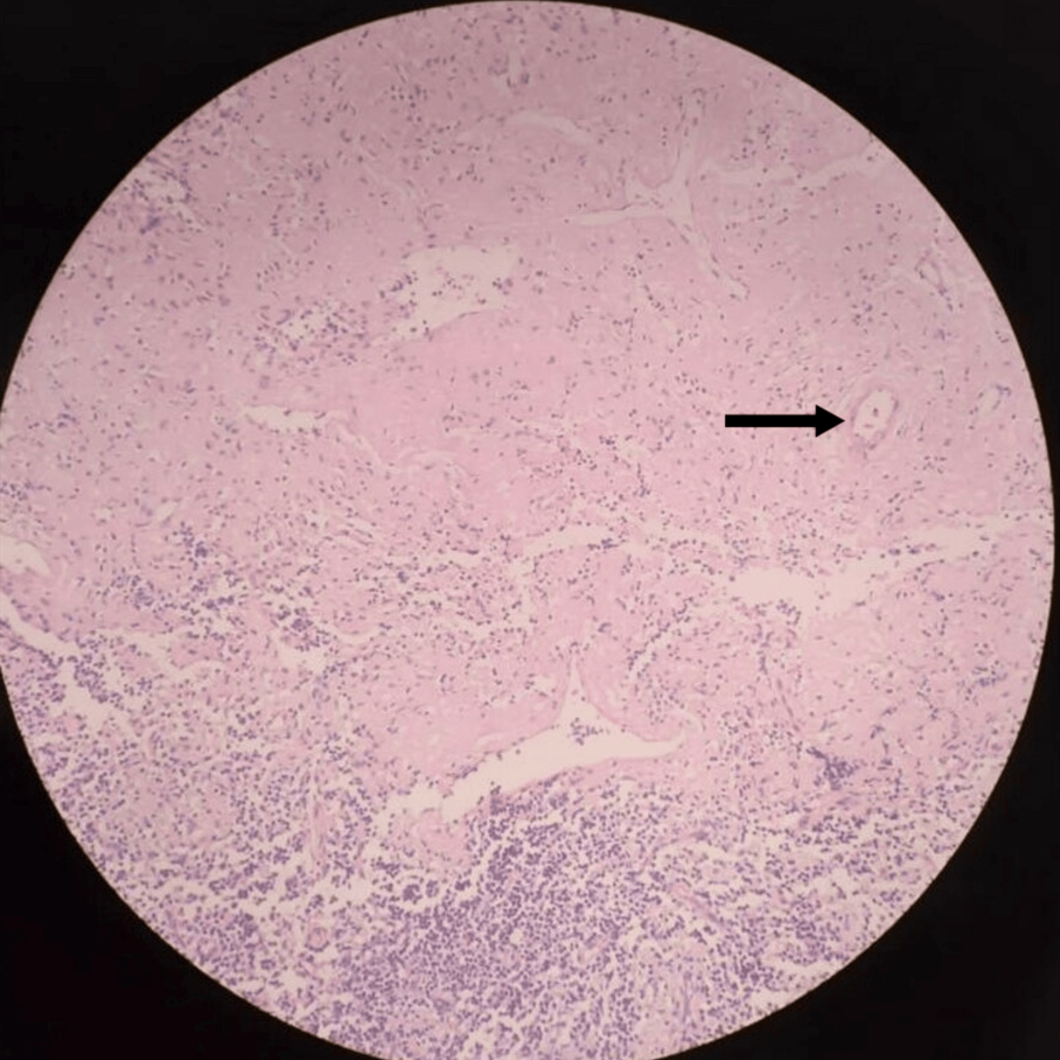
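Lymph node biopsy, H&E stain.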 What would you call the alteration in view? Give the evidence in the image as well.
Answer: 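Broad sheets of pale pink, glassy, structureless material fill most of the field. Only scattered small nuclei lie within the pink material. A dense band of small dark round nuclei is confined to the lower part of the field.
Homogenous, pale eosinophilic hyaline deposits.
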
